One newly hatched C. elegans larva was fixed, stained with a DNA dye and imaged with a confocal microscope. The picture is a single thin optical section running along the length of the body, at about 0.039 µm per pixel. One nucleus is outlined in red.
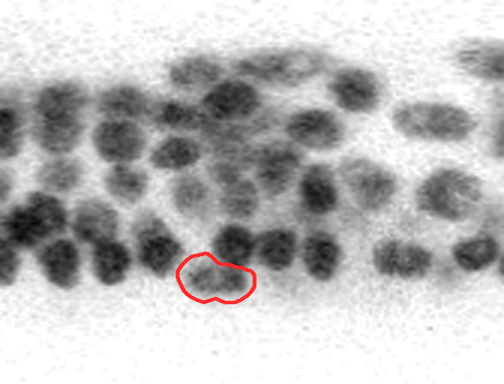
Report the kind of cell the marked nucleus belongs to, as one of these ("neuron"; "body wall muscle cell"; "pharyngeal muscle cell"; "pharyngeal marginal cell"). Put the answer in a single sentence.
What is marked is the nucleus of a body wall muscle cell.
